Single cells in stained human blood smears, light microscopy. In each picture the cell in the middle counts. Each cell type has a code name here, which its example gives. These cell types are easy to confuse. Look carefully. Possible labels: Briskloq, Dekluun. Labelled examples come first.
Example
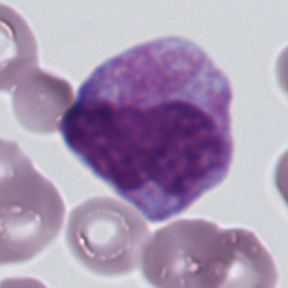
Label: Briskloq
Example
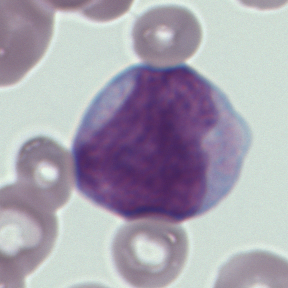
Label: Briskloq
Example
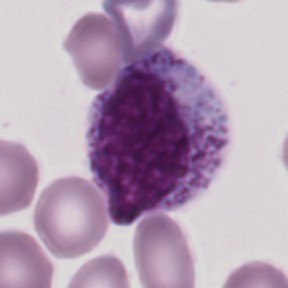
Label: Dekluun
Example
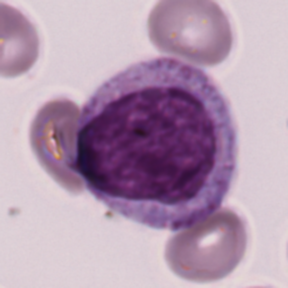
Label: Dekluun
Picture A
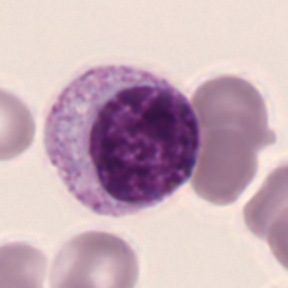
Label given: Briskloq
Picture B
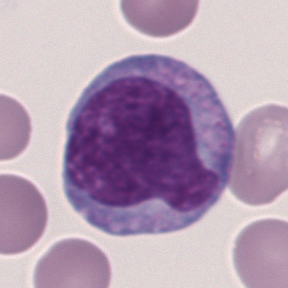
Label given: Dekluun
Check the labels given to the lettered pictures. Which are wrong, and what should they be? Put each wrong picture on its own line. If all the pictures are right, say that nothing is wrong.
A is labelled Briskloq; correct label: Dekluun
B is labelled Dekluun; correct label: Briskloq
